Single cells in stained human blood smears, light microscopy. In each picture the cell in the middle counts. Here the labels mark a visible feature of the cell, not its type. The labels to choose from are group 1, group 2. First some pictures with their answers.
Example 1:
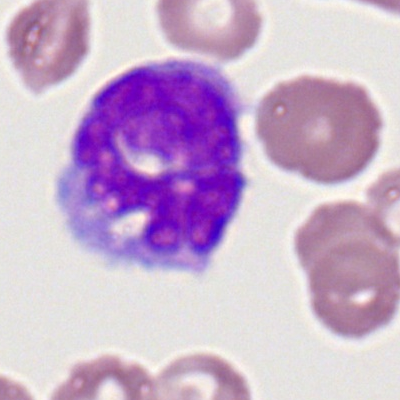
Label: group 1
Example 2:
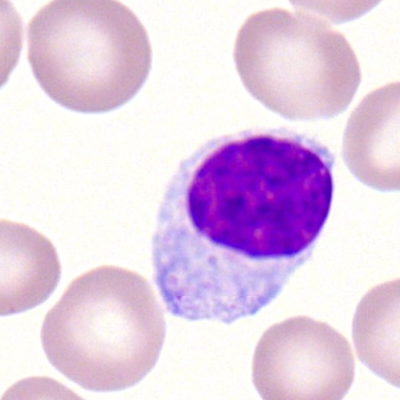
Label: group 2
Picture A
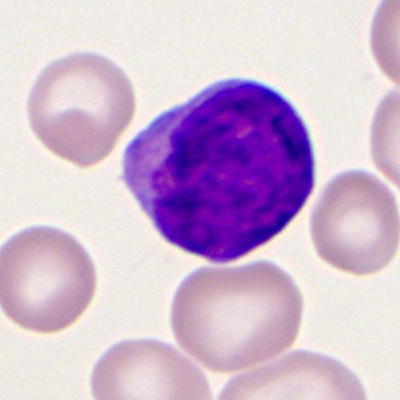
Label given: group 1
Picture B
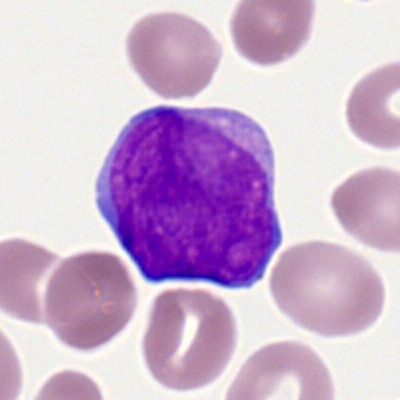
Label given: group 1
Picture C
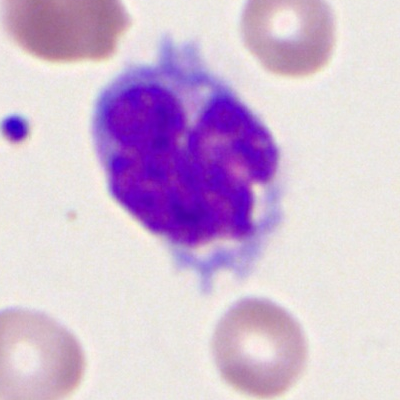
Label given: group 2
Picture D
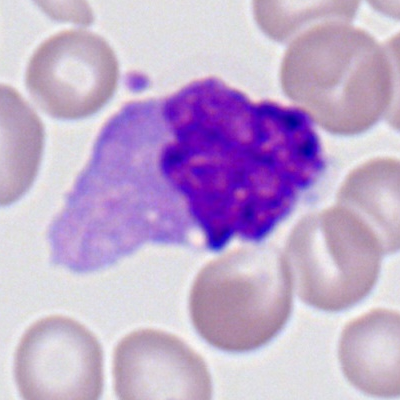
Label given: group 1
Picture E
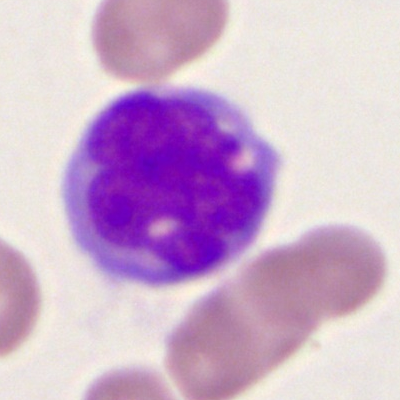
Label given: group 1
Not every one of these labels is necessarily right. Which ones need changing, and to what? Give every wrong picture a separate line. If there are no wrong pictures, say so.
Wrong: C (group 2); correct: group 1
Wrong: D (group 1); correct: group 2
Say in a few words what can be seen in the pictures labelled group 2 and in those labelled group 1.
Seen in group 2: abundant cytoplasm; seen in group 1: scant cytoplasm.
